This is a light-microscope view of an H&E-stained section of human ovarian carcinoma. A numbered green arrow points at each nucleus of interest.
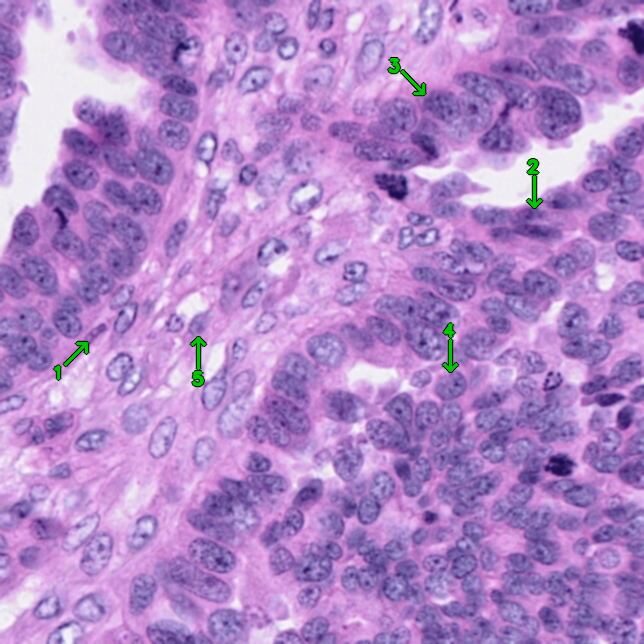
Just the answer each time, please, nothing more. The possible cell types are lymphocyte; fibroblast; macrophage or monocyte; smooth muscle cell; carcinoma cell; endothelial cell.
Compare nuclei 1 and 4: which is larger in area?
4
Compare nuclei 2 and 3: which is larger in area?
3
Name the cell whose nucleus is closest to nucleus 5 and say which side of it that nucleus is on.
a macrophage or monocyte; to the left of nucleus 5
